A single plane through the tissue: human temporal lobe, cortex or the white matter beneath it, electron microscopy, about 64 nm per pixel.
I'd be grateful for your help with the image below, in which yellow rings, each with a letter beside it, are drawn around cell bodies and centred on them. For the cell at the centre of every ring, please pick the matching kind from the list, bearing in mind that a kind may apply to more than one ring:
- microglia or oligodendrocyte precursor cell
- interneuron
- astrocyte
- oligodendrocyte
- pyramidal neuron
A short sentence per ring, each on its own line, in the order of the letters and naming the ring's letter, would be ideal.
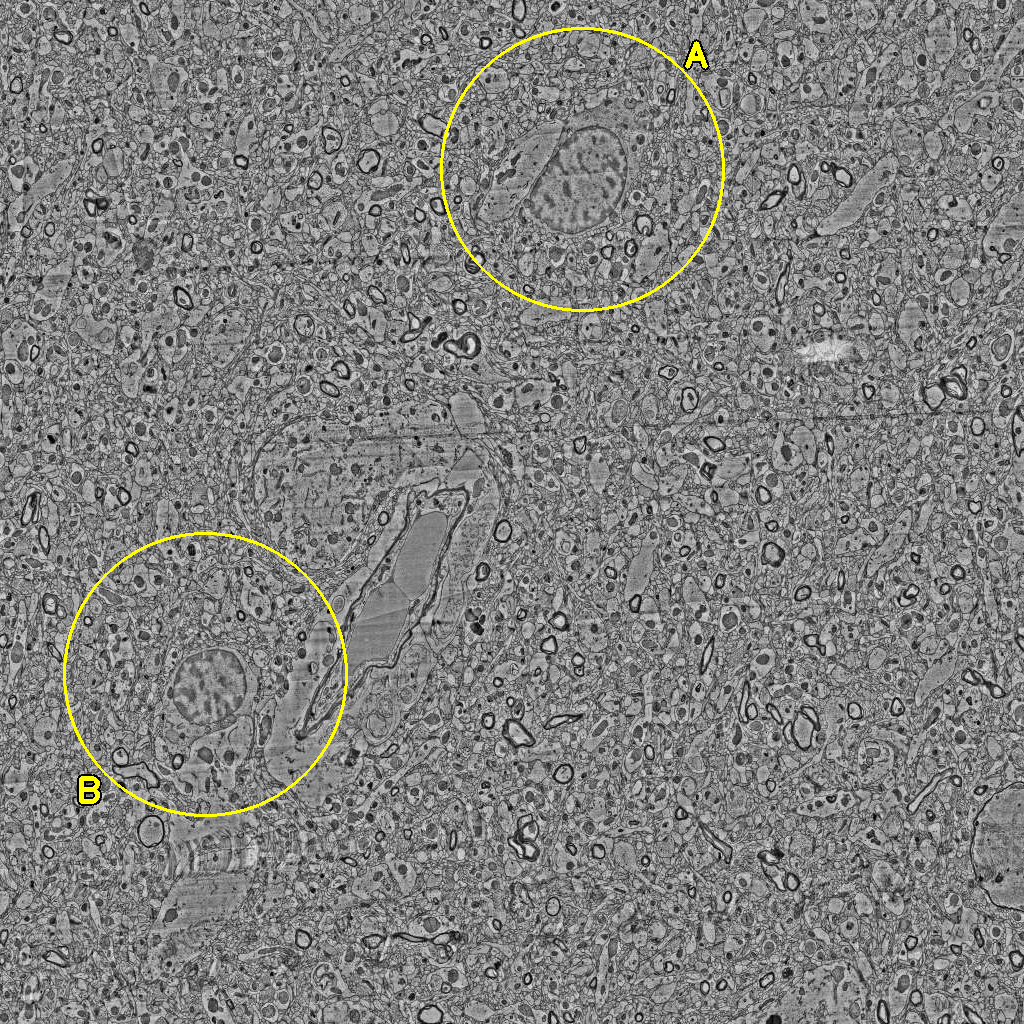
Inside ring A, the central cell is an oligodendrocyte.
Inside ring B, the central cell is an oligodendrocyte.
